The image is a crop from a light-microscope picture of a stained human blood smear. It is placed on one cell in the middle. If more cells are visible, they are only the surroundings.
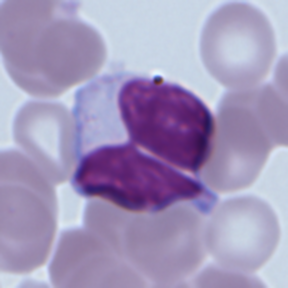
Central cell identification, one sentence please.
The cell nearest the centre of this crop is a large granular lymphocyte.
